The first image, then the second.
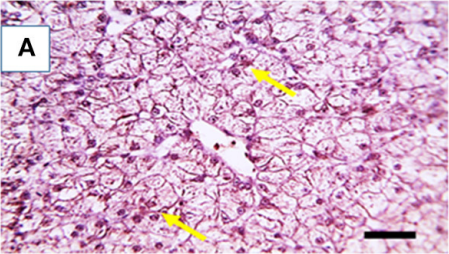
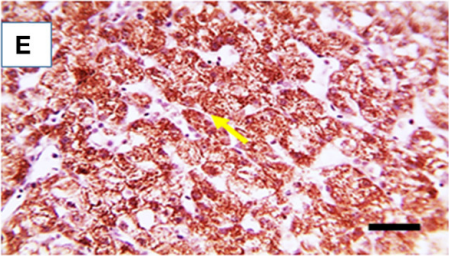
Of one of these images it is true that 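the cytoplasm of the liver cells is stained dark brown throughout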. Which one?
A: The second image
